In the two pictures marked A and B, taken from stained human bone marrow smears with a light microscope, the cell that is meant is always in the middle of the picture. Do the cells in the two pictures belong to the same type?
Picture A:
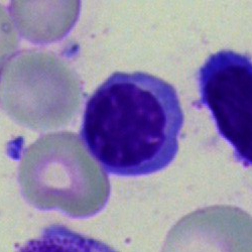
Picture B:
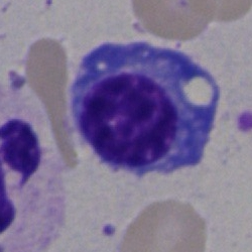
no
